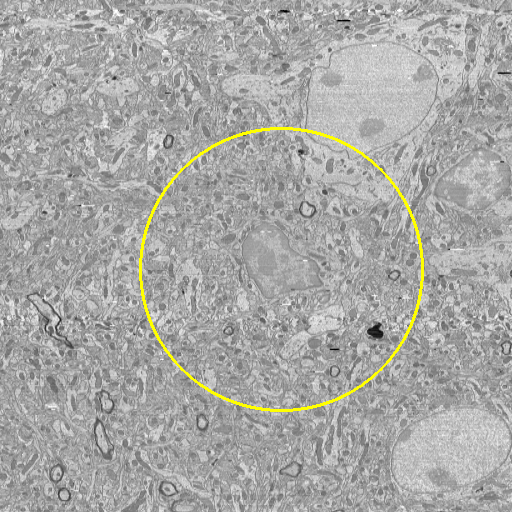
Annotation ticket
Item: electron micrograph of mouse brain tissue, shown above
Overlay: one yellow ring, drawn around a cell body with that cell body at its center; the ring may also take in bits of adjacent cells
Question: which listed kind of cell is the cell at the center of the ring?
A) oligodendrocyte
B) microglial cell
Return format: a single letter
B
